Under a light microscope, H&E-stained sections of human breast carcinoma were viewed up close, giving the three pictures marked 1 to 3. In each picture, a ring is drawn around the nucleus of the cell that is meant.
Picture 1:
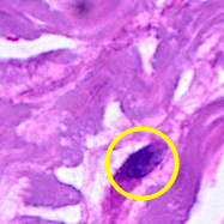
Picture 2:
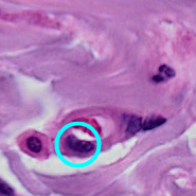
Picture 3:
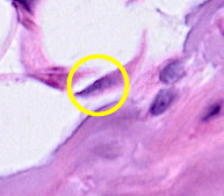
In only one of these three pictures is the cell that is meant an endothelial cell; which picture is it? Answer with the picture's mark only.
2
